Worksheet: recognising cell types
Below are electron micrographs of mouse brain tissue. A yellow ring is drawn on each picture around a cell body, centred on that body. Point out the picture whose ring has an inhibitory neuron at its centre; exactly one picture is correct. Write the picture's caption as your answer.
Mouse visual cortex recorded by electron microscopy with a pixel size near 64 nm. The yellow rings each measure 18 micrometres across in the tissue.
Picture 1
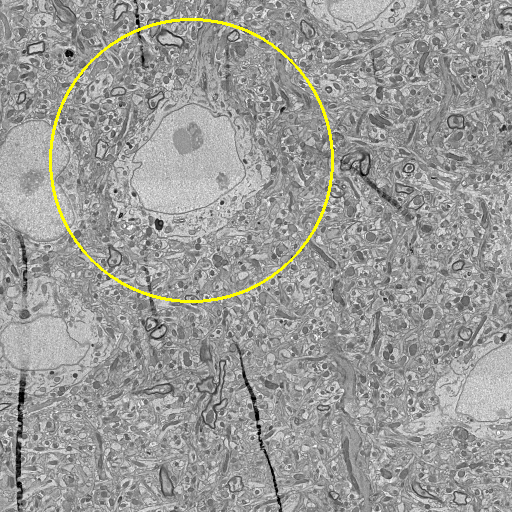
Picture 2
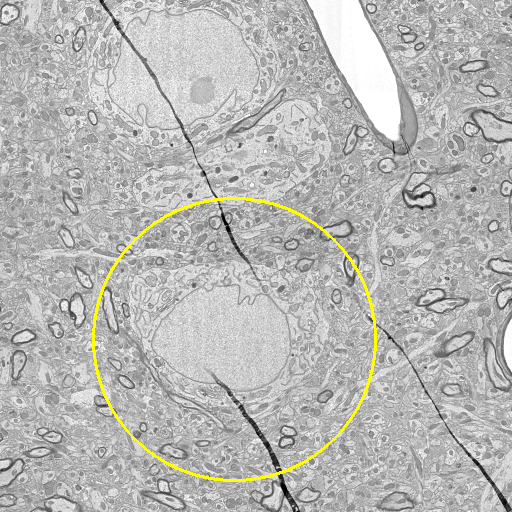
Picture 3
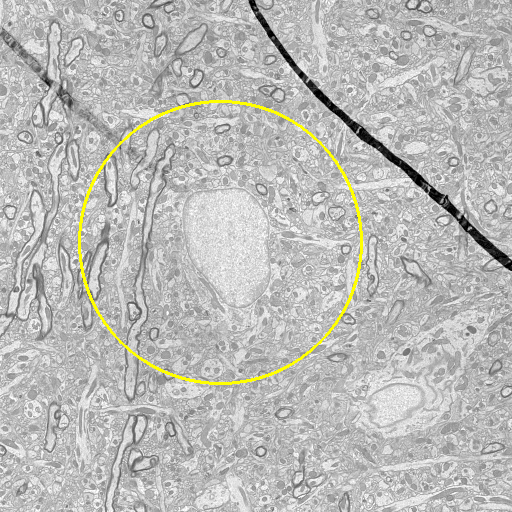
Picture 2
